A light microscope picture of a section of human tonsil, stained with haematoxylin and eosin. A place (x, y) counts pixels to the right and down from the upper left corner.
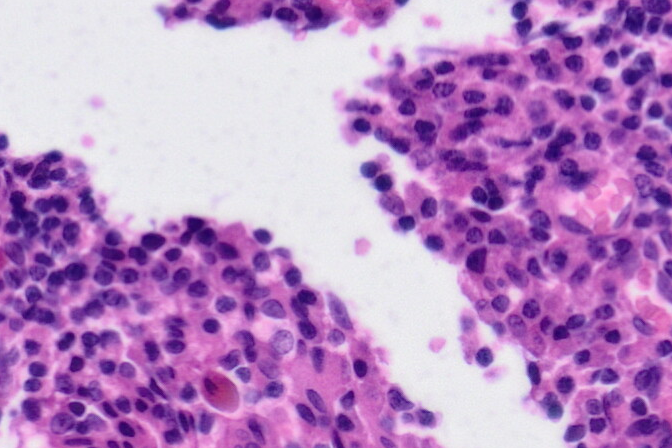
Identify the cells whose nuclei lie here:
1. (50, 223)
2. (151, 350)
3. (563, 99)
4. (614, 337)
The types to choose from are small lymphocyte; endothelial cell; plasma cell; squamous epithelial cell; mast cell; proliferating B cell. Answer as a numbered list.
1. small lymphocyte
2. plasma cell
3. plasma cell
4. plasma cell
